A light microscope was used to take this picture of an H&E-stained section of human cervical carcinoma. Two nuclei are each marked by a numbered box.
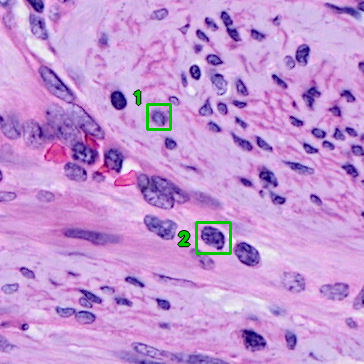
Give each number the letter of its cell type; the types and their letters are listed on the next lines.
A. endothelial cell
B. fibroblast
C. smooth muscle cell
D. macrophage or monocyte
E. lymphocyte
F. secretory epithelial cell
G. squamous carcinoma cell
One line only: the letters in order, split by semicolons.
C; E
